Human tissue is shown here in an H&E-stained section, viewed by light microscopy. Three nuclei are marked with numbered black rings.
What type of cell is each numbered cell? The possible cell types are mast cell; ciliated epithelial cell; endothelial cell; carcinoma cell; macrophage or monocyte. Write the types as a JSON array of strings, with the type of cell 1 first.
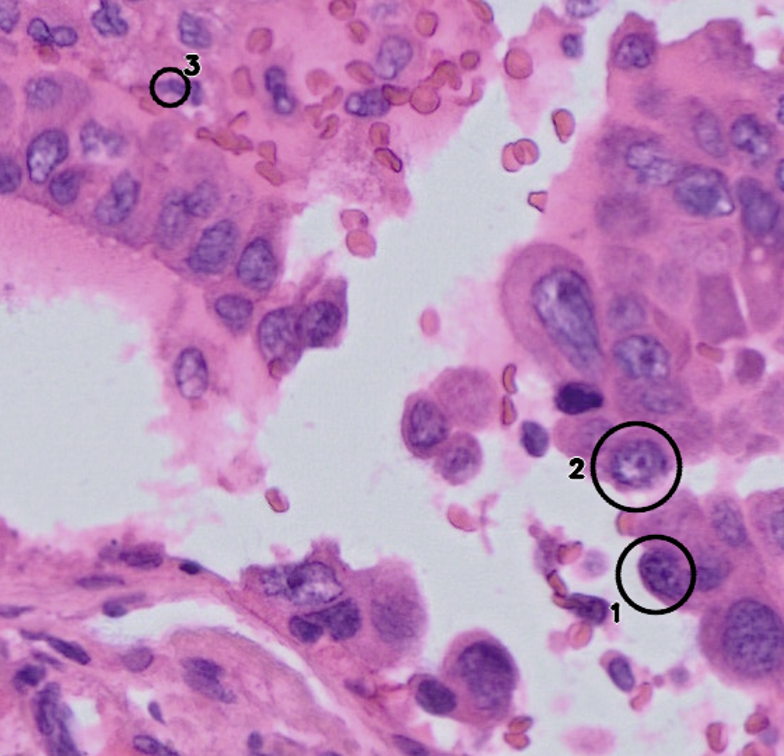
["carcinoma cell", "carcinoma cell", "macrophage or monocyte"]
